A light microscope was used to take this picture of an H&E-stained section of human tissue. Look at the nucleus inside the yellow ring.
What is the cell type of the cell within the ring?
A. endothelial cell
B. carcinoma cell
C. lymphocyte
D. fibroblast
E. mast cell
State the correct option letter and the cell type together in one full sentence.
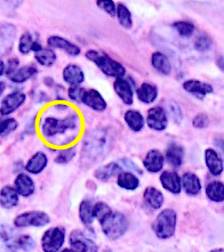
The accurate option is C, with the cell within the ring being a lymphocyte.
